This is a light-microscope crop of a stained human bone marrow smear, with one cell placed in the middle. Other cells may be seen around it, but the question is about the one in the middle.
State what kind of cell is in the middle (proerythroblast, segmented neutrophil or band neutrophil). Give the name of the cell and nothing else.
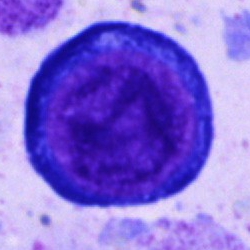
proerythroblast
